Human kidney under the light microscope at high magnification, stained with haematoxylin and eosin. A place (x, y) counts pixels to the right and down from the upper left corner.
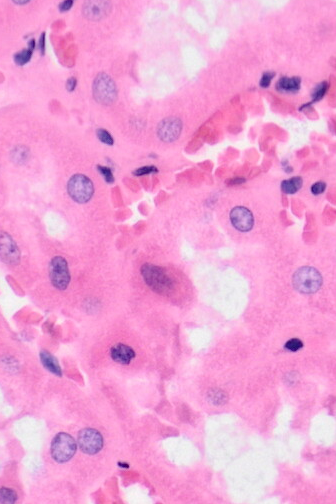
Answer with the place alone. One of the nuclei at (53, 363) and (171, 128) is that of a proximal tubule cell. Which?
(171, 128)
